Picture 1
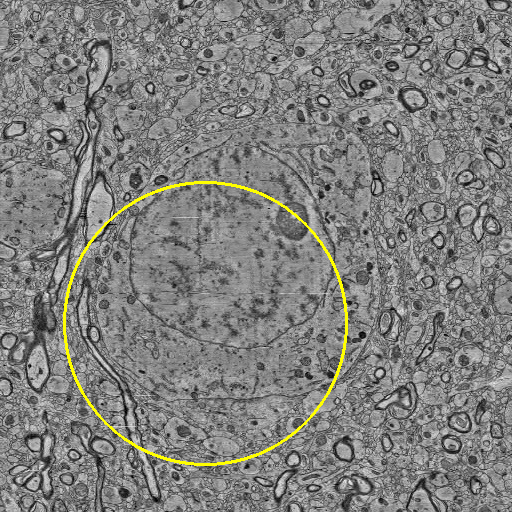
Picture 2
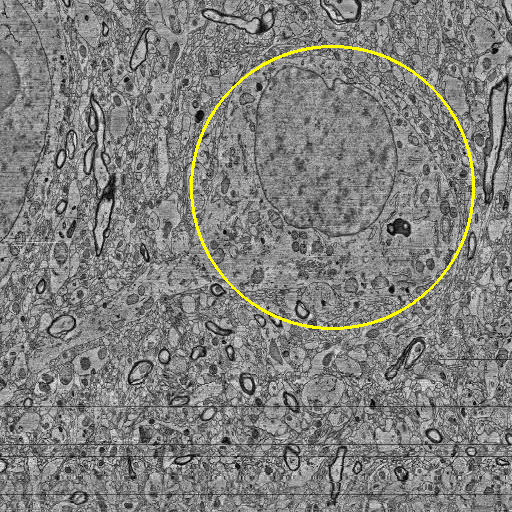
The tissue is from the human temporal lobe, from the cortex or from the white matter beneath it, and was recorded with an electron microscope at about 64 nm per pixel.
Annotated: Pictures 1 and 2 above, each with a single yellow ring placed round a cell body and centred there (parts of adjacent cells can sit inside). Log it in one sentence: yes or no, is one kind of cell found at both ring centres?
Yes, the ring centres of the two pictures hold cells of one kind.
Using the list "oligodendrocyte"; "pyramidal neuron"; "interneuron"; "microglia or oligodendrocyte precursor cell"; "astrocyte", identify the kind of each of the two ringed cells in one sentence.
In each picture the ringed cell is a pyramidal neuron.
